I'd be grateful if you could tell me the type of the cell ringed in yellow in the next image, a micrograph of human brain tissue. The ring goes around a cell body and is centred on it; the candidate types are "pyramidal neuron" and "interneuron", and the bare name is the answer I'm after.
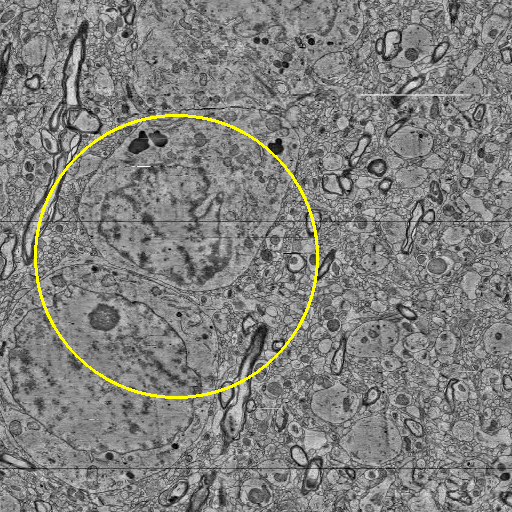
interneuron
